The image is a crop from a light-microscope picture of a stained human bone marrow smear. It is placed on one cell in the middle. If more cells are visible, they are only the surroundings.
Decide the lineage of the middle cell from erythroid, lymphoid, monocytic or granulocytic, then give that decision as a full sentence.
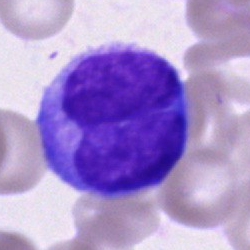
In this crop the cell in the center is part of the monocytic lineage.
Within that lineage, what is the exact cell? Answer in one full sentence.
The crop centres on a single cell, and that cell is a monocyte.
